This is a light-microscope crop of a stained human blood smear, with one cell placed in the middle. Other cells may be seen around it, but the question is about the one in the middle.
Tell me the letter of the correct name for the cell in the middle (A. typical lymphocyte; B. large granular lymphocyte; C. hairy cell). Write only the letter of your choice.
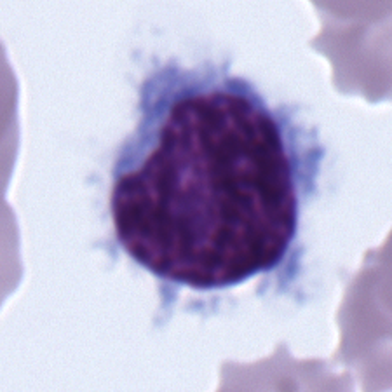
C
